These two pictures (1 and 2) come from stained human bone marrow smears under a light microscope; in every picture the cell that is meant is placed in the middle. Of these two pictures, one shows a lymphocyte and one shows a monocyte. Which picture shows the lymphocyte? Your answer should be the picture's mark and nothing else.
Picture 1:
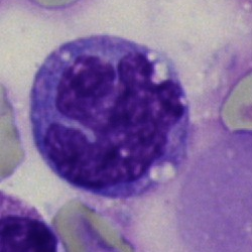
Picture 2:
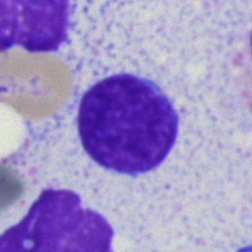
2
